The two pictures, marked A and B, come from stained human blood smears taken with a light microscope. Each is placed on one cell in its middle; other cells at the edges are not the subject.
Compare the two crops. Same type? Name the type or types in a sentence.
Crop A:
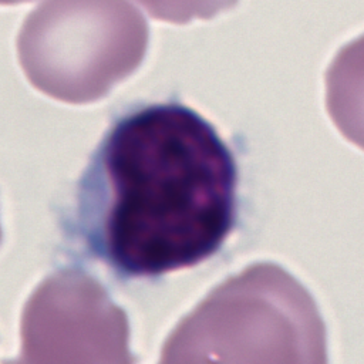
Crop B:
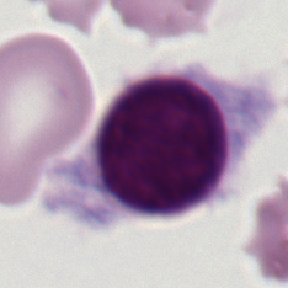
Yes, both crops here show hairy cells, the pair of them.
